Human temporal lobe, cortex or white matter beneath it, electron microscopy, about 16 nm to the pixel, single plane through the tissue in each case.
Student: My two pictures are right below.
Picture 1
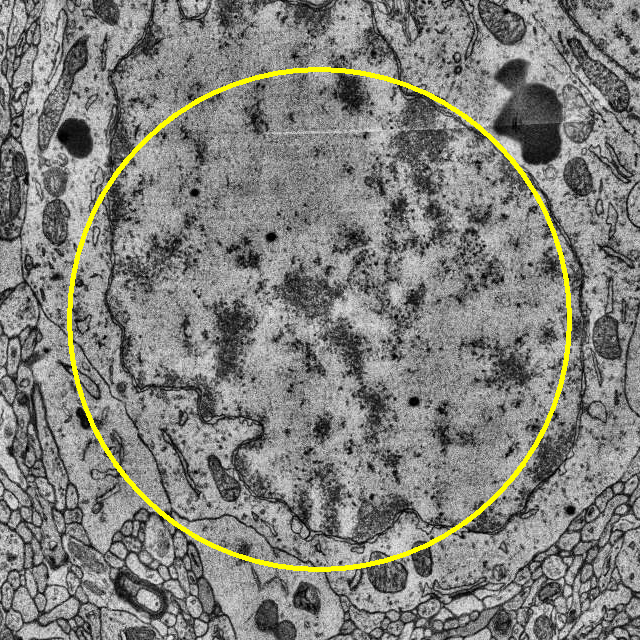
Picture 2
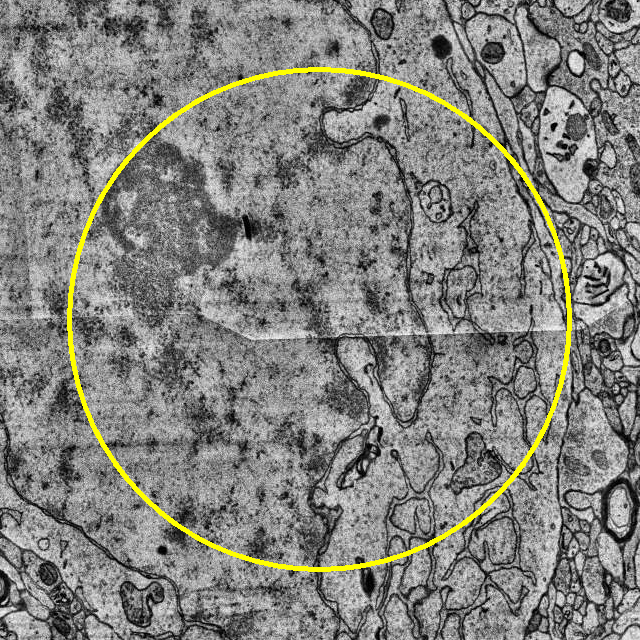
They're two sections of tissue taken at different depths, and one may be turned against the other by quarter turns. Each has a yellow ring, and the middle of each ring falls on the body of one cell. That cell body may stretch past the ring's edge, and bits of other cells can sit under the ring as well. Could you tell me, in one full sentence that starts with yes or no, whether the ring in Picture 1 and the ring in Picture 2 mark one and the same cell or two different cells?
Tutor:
No, these two rings belong to two distinct cells.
